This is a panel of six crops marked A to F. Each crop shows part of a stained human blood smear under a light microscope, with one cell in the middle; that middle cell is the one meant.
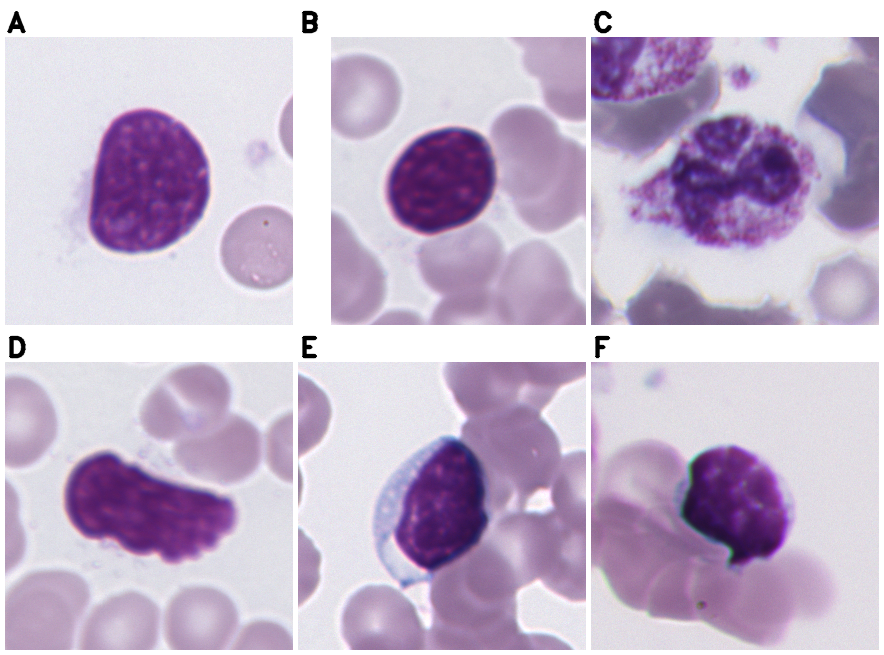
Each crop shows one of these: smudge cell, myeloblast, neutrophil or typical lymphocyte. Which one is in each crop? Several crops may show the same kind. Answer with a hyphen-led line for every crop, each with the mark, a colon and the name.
- A: smudge cell
- B: smudge cell
- C: neutrophil
- D: smudge cell
- E: typical lymphocyte
- F: typical lymphocyte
